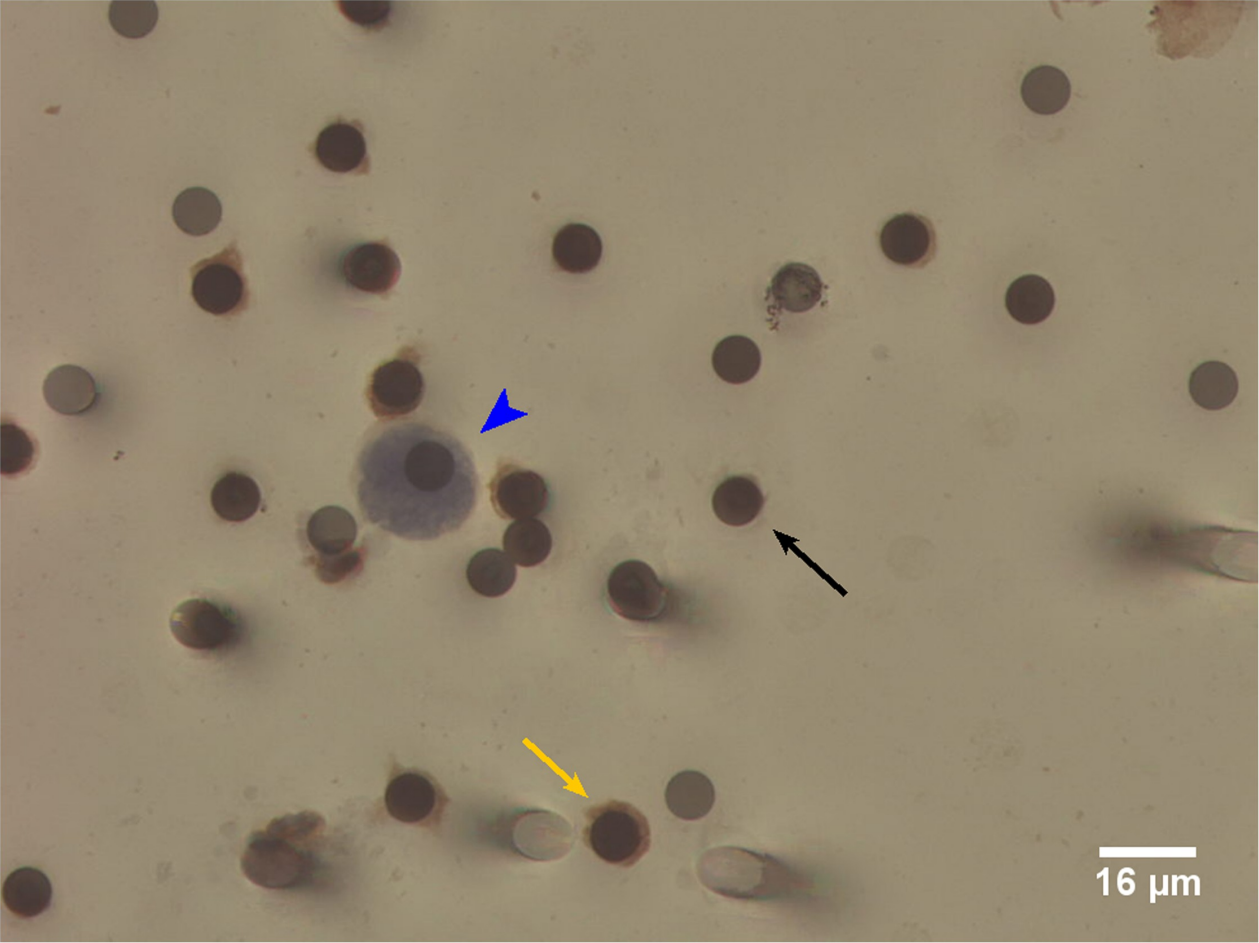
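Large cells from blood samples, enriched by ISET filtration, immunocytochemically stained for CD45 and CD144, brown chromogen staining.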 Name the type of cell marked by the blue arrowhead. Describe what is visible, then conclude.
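The marked cell is much larger than the other cells, about the length of the scale bar or more. It lacks the brown rim seen around smaller cells. On this evidence: Circulating Tumour Cells.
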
